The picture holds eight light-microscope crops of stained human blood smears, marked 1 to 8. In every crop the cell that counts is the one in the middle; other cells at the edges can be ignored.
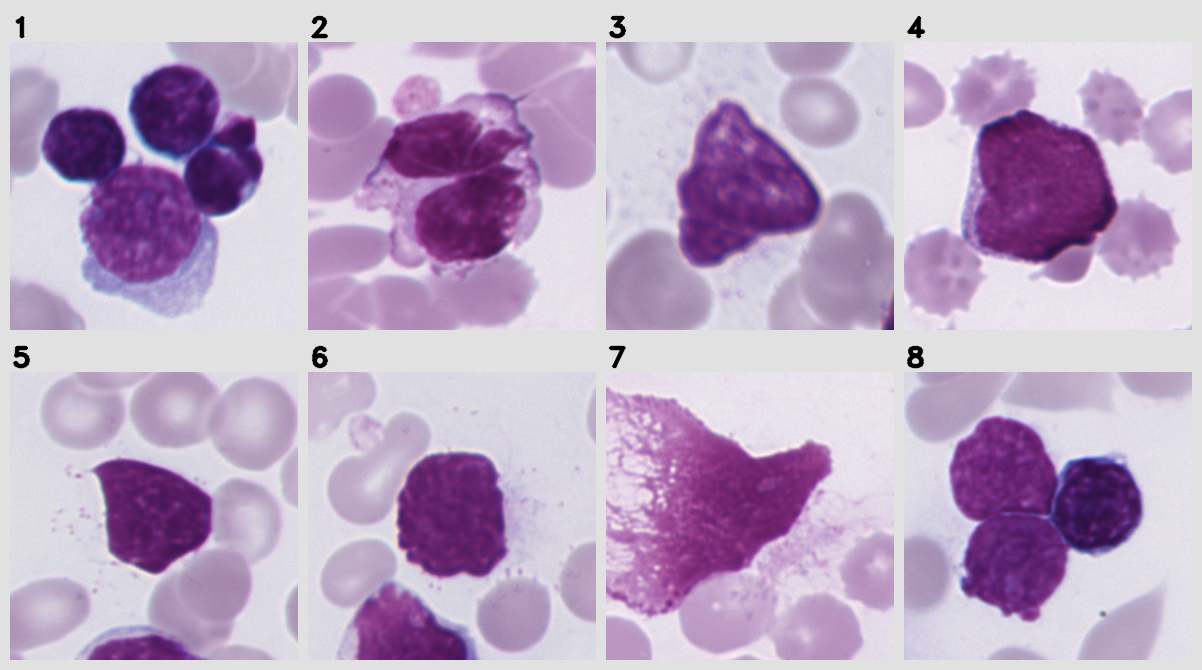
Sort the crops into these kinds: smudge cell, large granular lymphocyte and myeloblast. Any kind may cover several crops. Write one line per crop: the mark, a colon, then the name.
1: myeloblast
2: large granular lymphocyte
3: smudge cell
4: myeloblast
5: smudge cell
6: smudge cell
7: smudge cell
8: myeloblast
